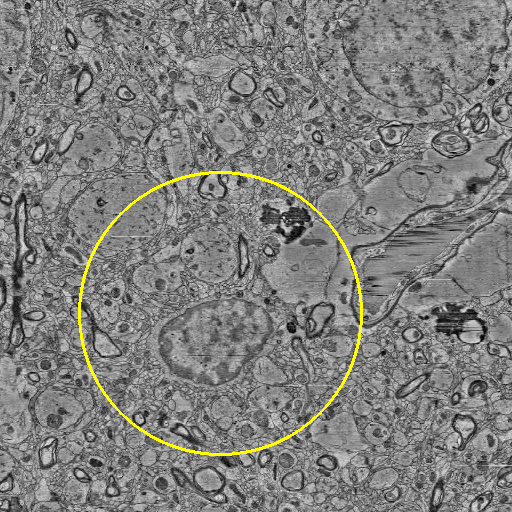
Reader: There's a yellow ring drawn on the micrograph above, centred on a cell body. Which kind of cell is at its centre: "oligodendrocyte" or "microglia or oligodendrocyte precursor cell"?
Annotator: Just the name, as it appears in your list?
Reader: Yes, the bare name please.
oligodendrocyte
